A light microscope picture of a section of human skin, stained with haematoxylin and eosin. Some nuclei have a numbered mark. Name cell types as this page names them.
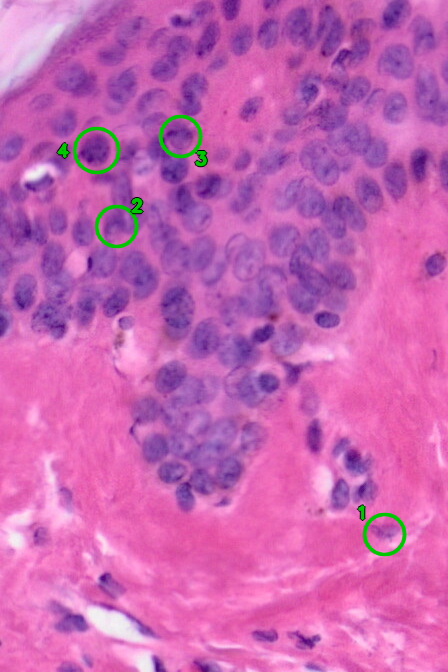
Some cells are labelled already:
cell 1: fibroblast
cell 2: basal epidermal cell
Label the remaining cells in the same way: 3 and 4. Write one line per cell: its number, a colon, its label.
3: basal epidermal cell
4: basal epidermal cell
